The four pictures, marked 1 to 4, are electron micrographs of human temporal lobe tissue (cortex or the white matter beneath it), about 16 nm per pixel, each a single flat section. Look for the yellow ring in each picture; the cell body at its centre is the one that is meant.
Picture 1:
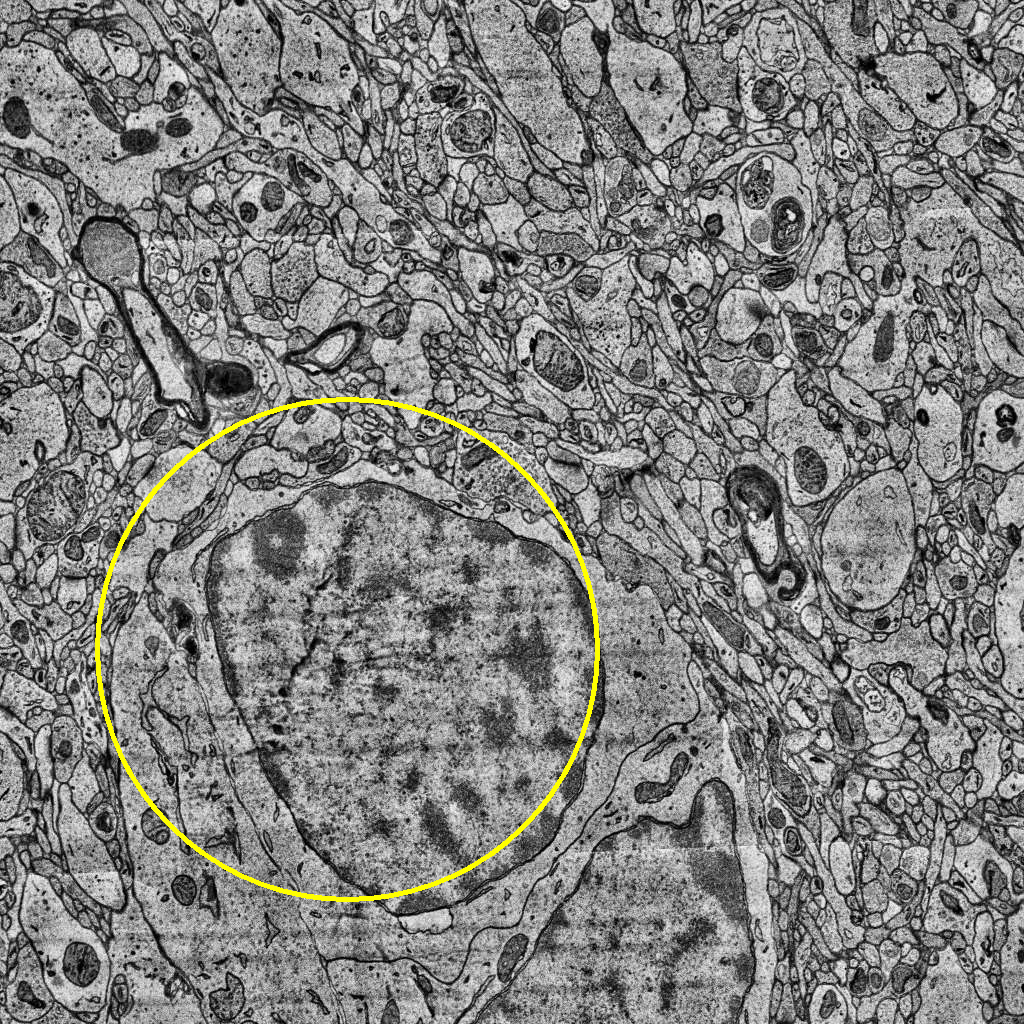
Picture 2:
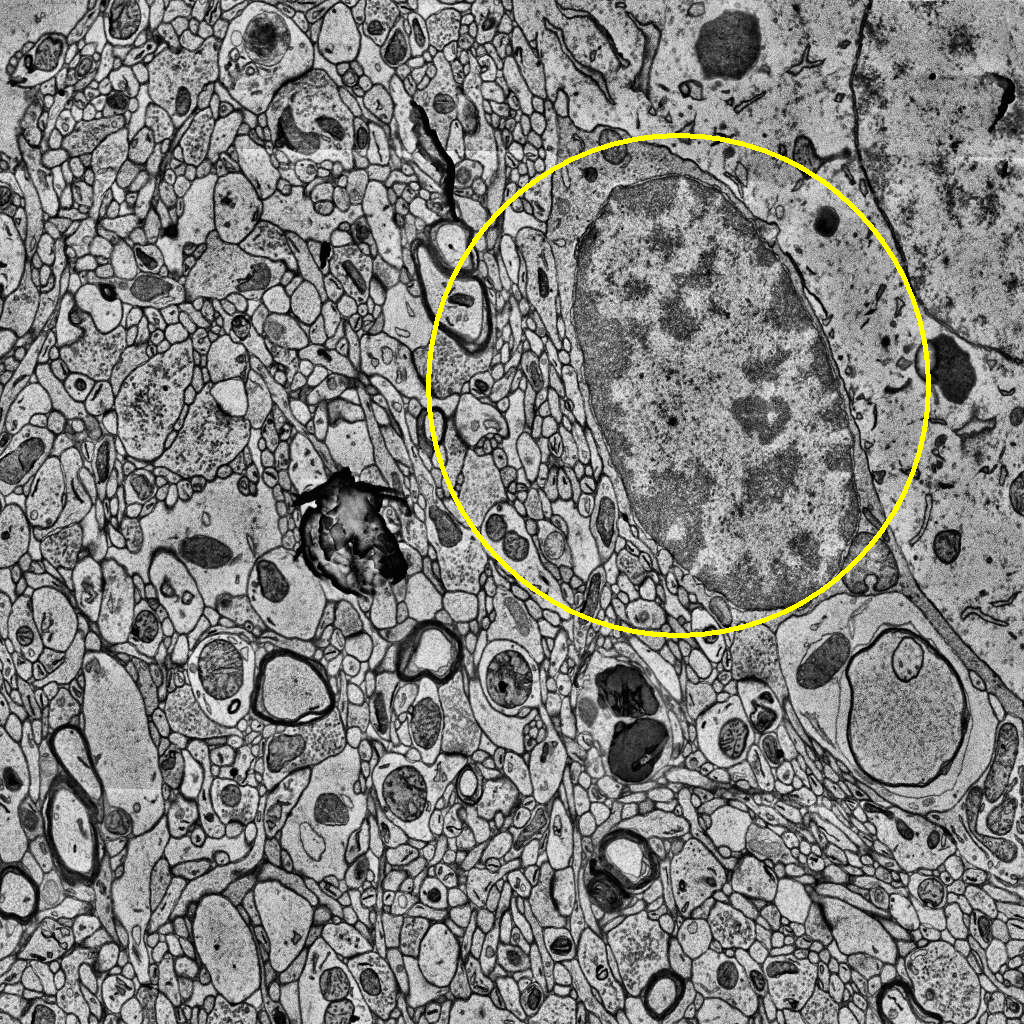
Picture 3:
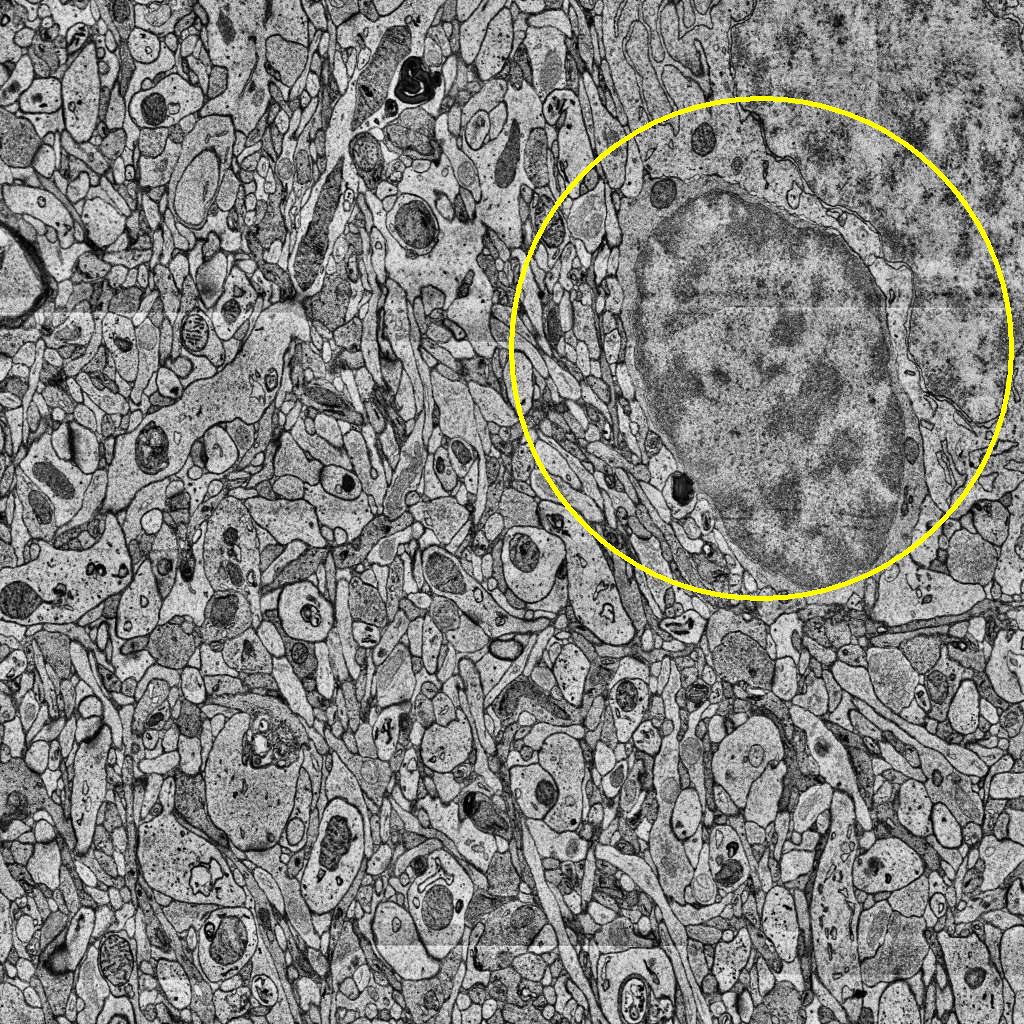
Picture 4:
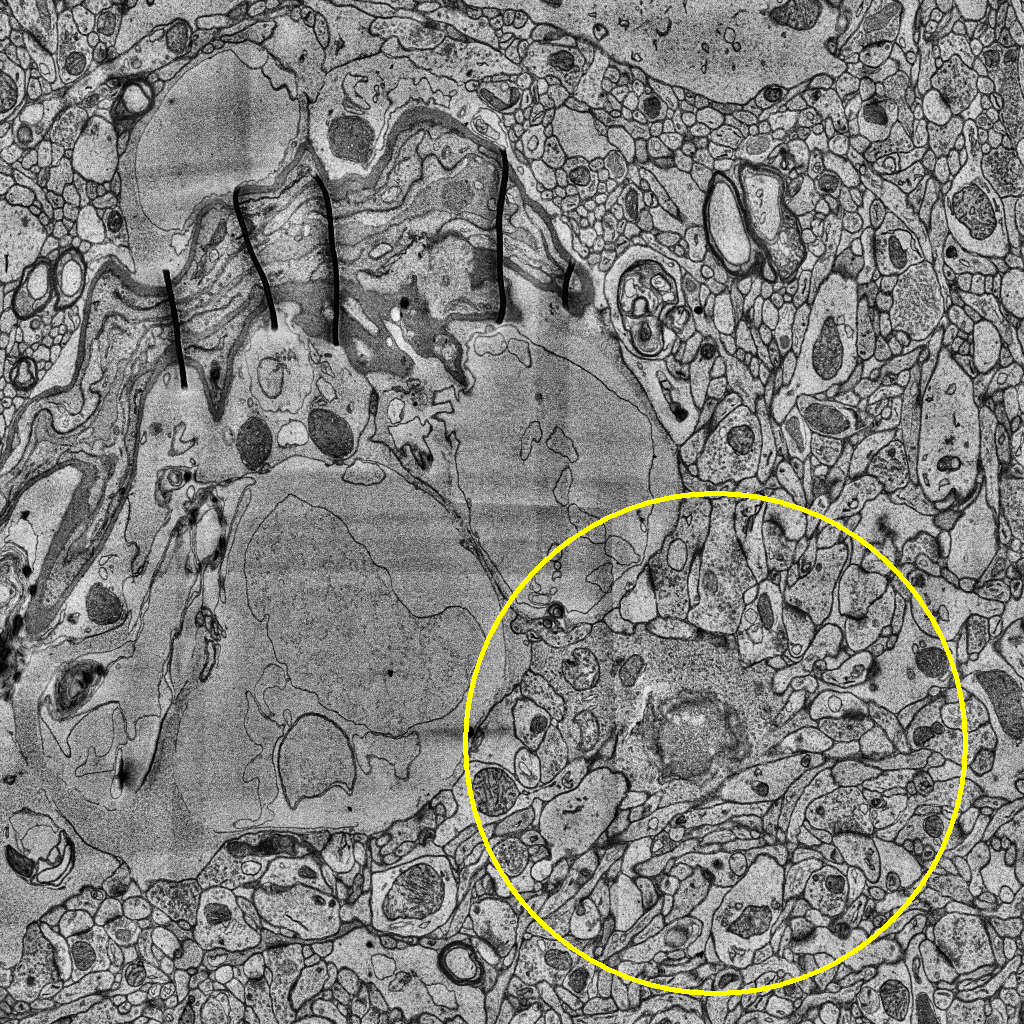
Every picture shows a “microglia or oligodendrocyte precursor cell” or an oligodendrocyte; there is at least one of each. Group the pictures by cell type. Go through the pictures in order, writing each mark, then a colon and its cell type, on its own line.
1: microglia or oligodendrocyte precursor cell
2: oligodendrocyte
3: oligodendrocyte
4: oligodendrocyte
